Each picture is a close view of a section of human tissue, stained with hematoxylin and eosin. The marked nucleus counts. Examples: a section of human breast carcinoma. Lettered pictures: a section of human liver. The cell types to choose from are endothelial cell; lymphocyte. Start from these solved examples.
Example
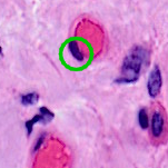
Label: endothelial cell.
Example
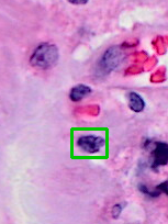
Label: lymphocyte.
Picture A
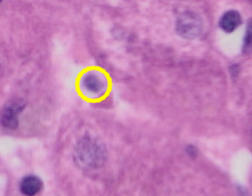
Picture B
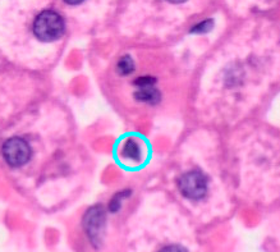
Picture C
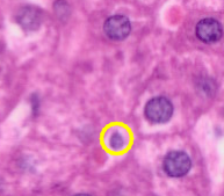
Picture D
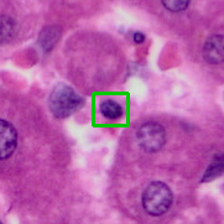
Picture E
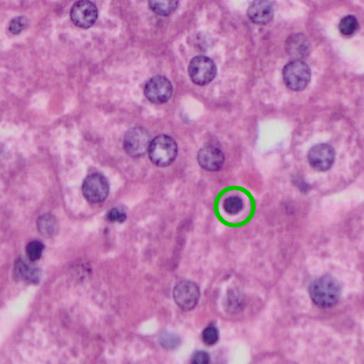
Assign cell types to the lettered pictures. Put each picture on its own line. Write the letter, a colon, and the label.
A: lymphocyte.
B: lymphocyte.
C: lymphocyte.
D: lymphocyte.
E: lymphocyte.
